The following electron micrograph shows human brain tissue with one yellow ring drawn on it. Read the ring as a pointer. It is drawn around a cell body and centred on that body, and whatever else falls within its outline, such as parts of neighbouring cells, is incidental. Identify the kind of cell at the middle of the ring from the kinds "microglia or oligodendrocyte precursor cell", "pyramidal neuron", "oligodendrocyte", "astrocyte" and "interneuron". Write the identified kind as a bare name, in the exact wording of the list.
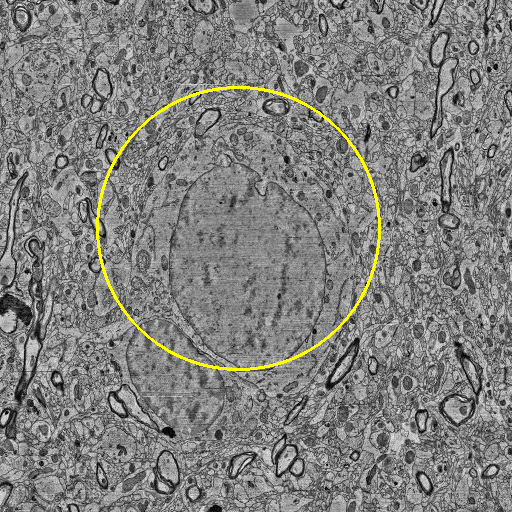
pyramidal neuron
